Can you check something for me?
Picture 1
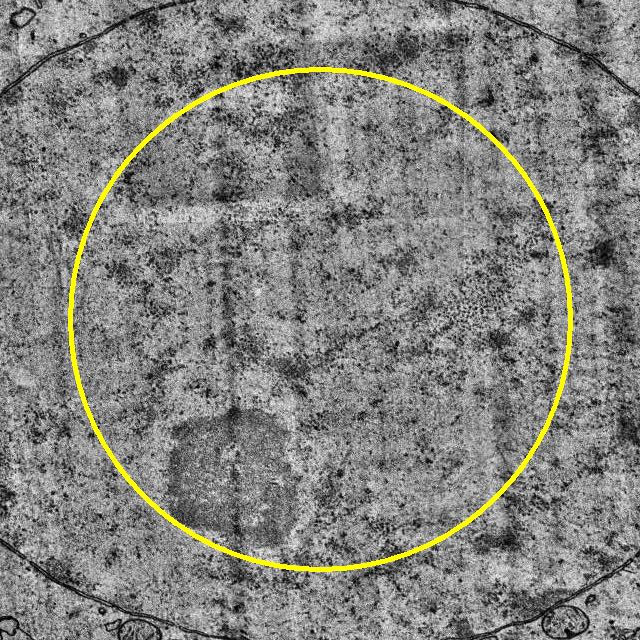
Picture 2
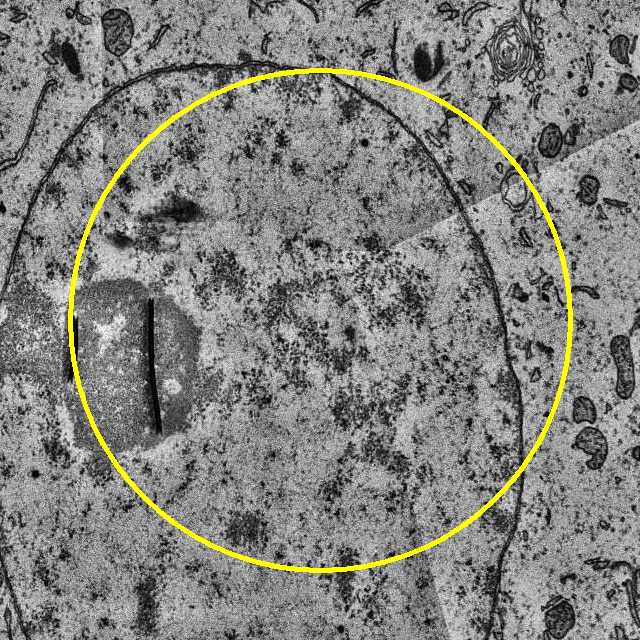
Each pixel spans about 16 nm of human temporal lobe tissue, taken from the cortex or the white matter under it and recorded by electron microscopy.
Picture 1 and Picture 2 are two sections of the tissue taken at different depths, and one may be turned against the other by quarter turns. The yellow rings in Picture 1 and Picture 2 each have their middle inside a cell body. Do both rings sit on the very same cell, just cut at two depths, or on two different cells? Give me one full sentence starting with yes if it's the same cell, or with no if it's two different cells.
No, there are two different cells marked by the rings.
